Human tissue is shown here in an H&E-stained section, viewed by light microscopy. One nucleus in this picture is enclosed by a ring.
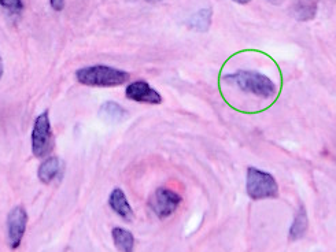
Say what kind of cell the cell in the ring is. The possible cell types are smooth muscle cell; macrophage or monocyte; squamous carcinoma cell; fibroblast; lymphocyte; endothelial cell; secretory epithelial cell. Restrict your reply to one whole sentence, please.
In the stained section, the cell in the ring is a fibroblast.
